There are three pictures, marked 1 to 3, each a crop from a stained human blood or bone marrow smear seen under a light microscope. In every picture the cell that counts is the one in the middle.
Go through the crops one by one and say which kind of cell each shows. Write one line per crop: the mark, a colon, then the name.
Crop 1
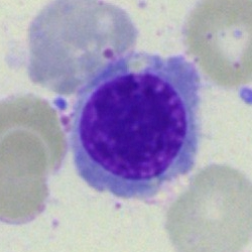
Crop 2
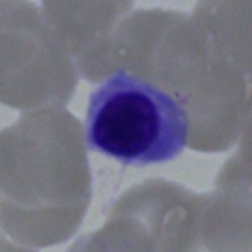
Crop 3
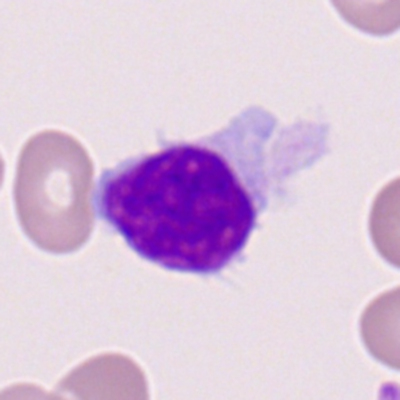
1: erythroblast
2: erythroblast
3: lymphocyte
